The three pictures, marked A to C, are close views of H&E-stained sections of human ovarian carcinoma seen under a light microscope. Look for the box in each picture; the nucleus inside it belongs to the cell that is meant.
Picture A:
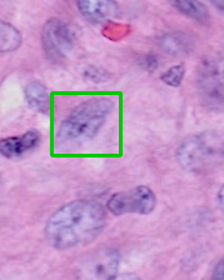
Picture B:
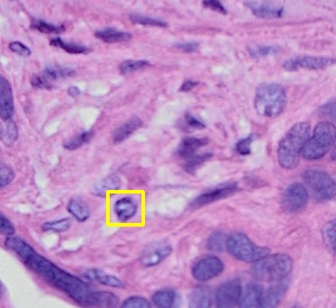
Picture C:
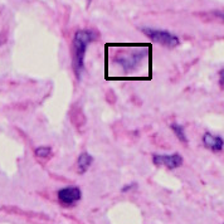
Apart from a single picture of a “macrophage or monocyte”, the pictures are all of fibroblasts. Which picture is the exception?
B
